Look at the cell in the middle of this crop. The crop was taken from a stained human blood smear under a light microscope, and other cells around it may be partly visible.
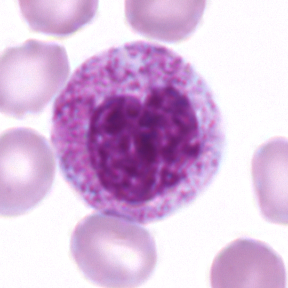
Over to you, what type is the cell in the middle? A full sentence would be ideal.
Classification of the middle cell gives a band neutrophil.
